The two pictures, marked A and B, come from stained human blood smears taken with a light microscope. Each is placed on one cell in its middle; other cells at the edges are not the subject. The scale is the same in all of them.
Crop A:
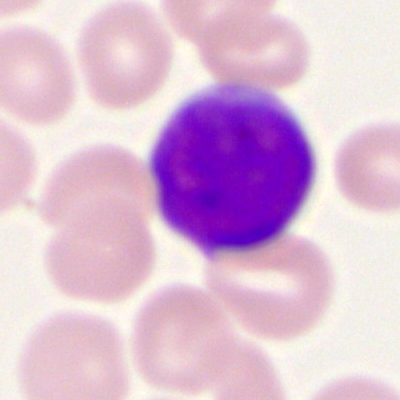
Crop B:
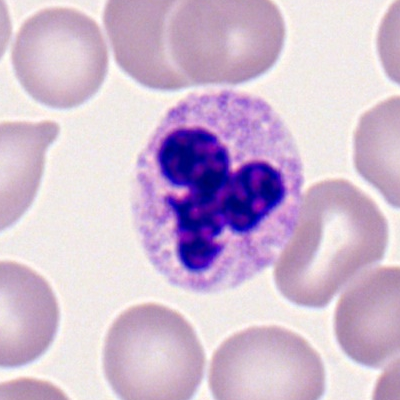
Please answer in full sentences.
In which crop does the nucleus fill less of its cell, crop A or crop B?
The nucleus fills less of the cell in crop B than in crop A.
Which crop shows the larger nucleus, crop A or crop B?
It is the nucleus in crop A, about 1.5 times as large in area as the one in crop B.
